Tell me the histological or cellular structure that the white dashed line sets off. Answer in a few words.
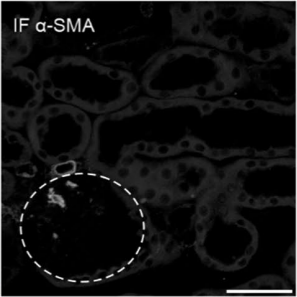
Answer: Glomeruli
